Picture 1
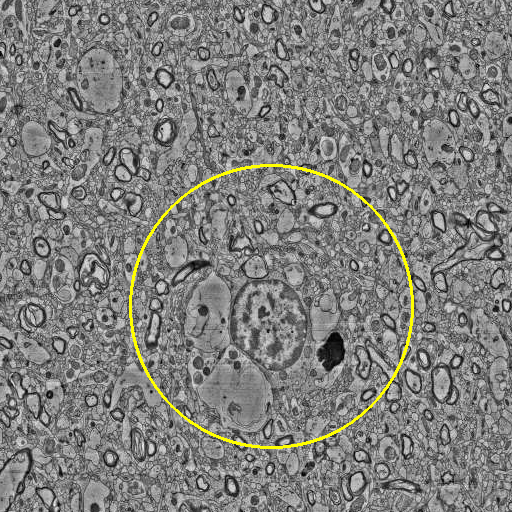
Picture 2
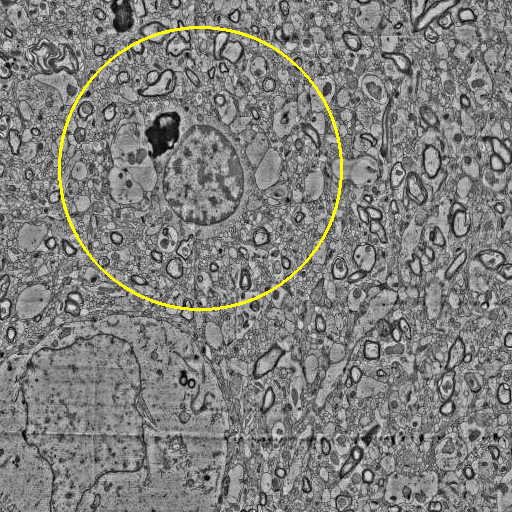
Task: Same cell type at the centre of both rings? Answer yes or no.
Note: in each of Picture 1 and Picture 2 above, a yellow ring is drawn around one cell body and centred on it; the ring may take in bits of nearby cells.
yes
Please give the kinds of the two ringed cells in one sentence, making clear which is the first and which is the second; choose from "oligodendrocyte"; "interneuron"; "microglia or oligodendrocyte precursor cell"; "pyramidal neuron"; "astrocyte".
Each of the two rings surrounds an oligodendrocyte.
